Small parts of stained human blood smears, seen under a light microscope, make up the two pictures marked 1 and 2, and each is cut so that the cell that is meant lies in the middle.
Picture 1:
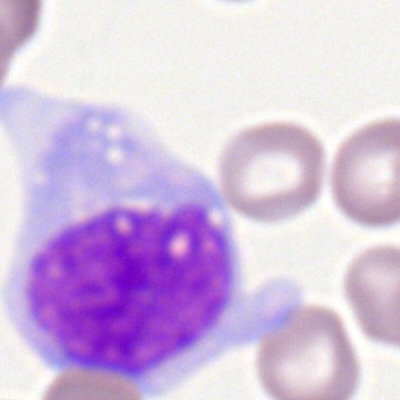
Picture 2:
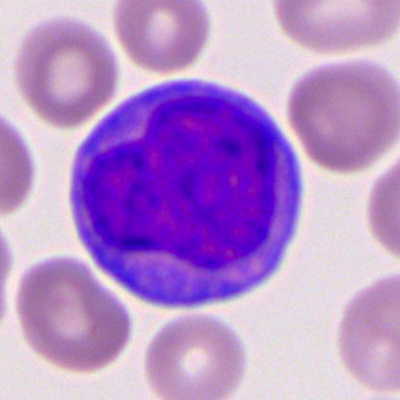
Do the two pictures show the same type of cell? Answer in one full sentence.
No, the types are not the same, since picture 1 shows a monocyte and picture 2 a myeloblast.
